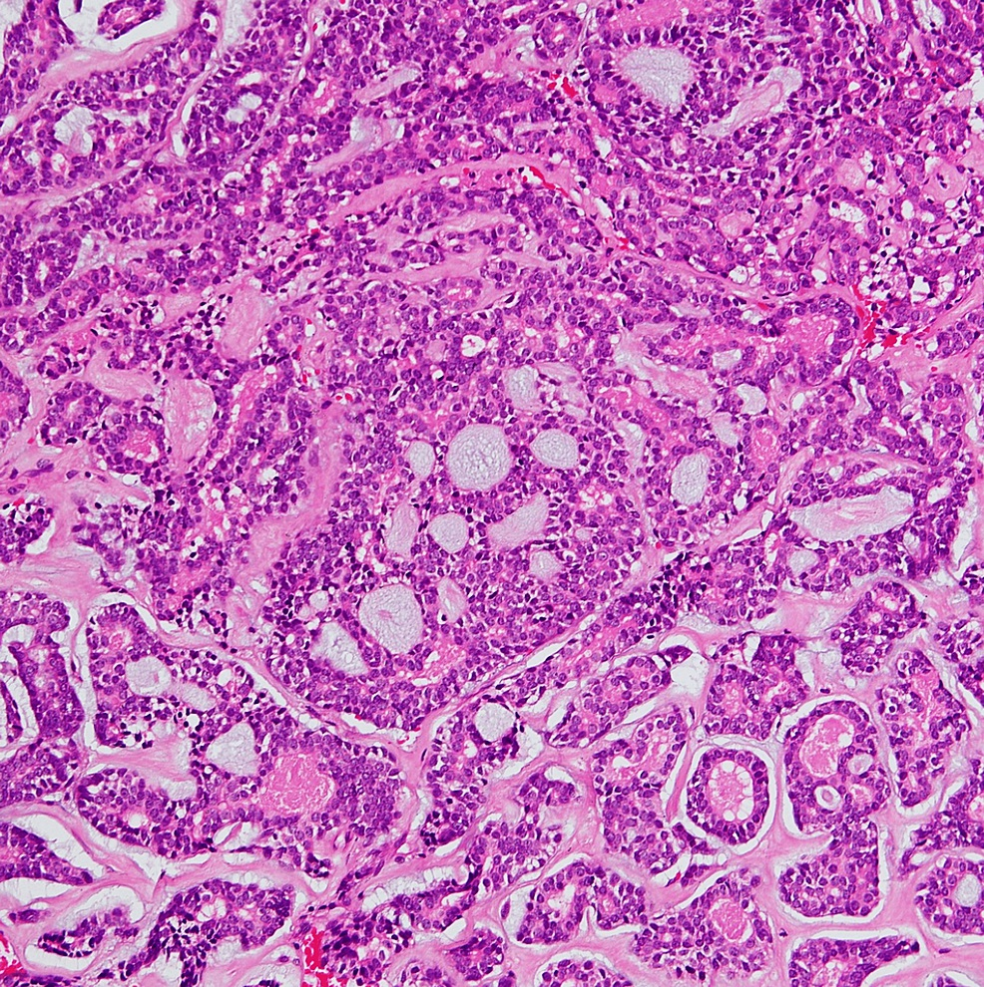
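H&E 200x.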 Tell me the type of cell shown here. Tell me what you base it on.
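The nests are made up mostly of small cells with scant cytoplasm. Their nuclei are dark, small and somewhat angular.
Answer: myoepithelial cells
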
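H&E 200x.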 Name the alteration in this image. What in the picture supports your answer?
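Nests and tubules of small, crowded basaloid cells with dark nuclei fill the field. Many nests contain round, punched-out spaces filled with pale grey-blue material. Pink hyalinized stroma separates the tumour nests.
Adenoid cystic carcinoma.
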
